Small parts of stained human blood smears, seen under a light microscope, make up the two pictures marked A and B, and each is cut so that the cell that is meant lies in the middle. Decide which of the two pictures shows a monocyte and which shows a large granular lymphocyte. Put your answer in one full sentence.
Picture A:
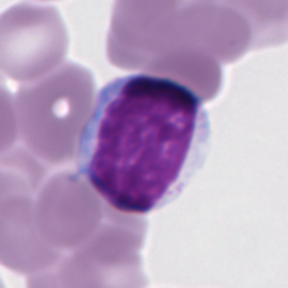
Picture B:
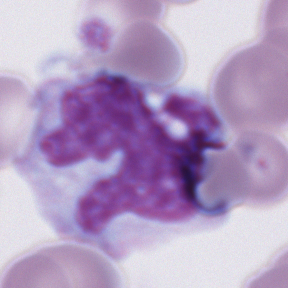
Picture A shows a large granular lymphocyte and picture B shows a monocyte.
